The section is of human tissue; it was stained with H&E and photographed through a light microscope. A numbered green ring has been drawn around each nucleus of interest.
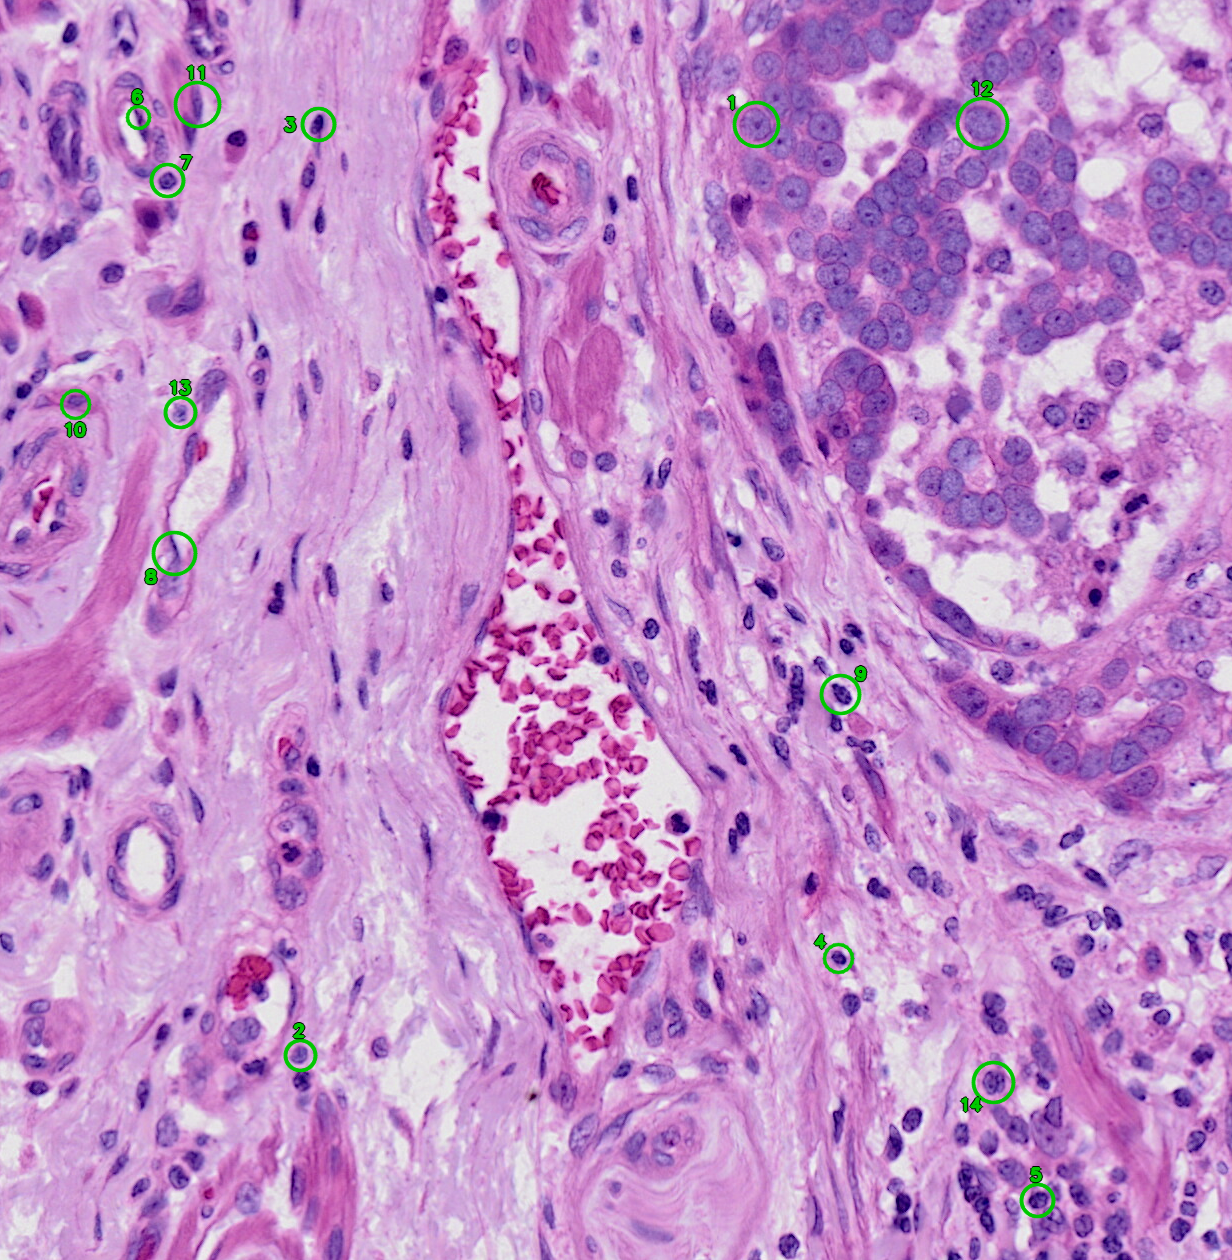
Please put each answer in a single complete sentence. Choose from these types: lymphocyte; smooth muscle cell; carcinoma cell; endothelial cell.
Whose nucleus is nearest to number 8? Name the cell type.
The nucleus nearest to number 8 is that of an endothelial cell.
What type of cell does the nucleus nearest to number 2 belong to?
Number 2 lies closest to the nucleus of a lymphocyte.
